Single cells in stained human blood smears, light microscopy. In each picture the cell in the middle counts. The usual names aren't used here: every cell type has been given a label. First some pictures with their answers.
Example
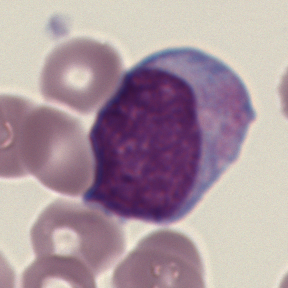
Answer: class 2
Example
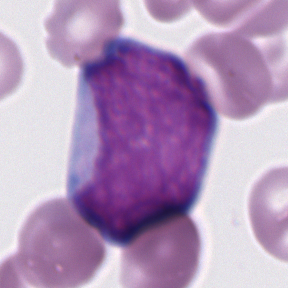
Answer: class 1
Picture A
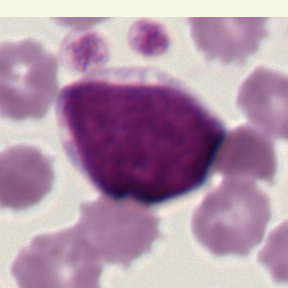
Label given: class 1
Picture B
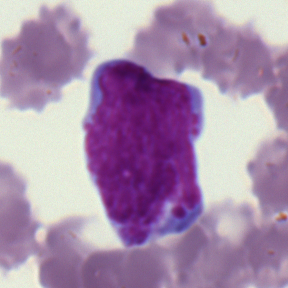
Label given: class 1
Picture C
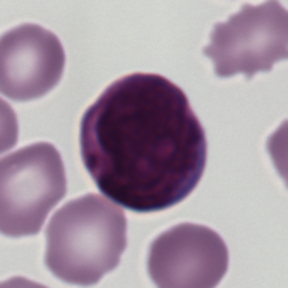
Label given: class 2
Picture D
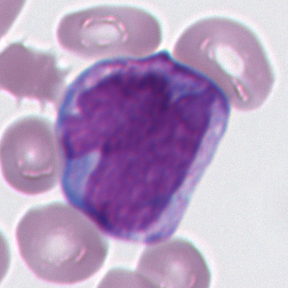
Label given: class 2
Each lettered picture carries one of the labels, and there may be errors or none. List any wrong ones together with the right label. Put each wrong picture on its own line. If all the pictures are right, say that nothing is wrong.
C should be class 1, not class 2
